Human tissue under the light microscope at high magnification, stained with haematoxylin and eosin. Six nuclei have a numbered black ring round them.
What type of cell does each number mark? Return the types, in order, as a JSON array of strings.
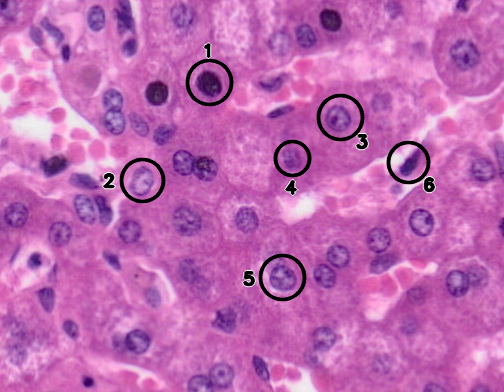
["hepatocyte", "cholangiocyte", "hepatocyte", "hepatocyte", "hepatocyte", "Kupffer cell"]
